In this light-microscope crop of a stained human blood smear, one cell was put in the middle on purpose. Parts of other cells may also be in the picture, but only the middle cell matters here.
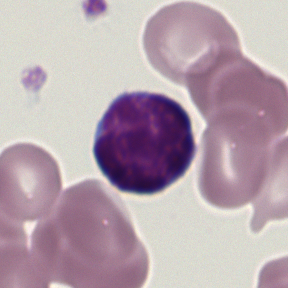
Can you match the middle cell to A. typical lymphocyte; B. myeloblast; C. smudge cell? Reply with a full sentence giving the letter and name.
The cell positioned centrally is a typical lymphocyte, as given in option A, which is correct.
